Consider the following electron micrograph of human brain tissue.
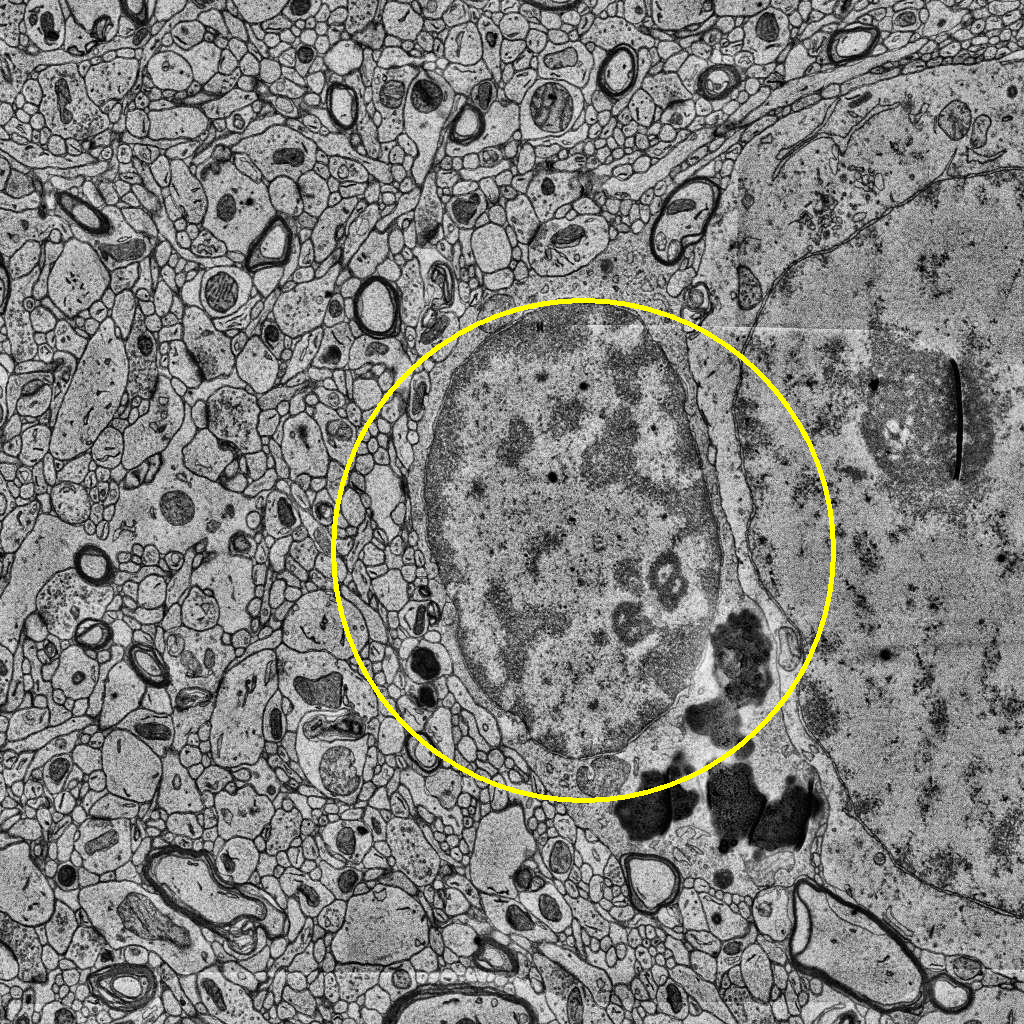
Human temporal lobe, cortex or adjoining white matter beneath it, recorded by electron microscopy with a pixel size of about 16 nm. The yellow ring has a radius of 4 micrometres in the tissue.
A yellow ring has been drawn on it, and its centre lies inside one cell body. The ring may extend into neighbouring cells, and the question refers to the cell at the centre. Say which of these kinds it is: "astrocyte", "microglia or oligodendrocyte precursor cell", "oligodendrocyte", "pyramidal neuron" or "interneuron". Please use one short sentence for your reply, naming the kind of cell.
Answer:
The centre of the ring falls on an oligodendrocyte.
